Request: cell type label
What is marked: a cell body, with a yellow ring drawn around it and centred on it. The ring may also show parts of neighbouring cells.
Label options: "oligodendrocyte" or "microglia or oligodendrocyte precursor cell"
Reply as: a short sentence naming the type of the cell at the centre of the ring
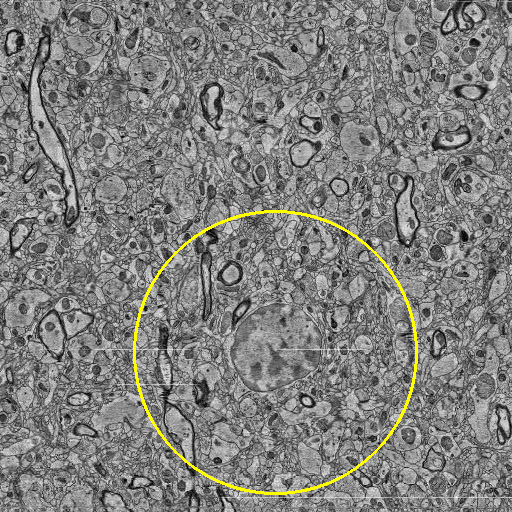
The marked cell body is that of a microglial cell or oligodendrocyte precursor cell.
